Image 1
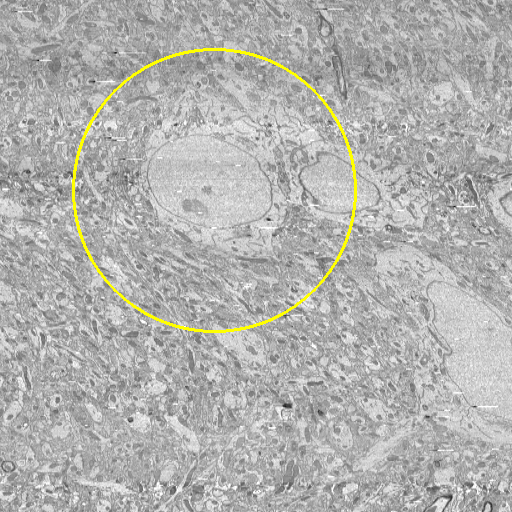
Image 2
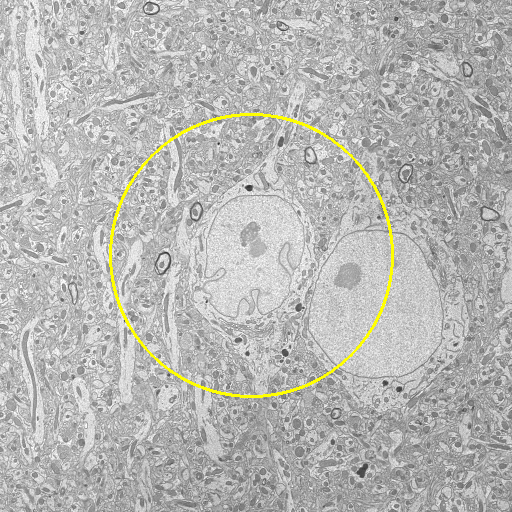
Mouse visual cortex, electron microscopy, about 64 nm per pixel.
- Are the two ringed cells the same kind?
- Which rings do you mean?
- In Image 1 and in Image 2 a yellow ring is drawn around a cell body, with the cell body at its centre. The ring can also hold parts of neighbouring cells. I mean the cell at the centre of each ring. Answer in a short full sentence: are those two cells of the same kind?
No, the cells are of two kinds.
